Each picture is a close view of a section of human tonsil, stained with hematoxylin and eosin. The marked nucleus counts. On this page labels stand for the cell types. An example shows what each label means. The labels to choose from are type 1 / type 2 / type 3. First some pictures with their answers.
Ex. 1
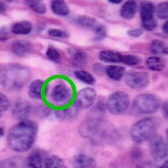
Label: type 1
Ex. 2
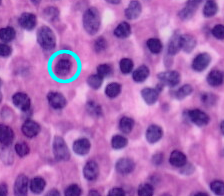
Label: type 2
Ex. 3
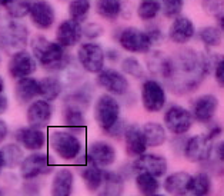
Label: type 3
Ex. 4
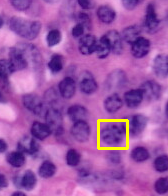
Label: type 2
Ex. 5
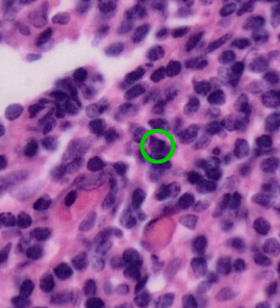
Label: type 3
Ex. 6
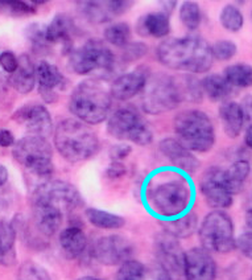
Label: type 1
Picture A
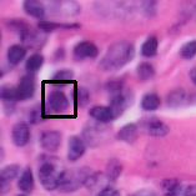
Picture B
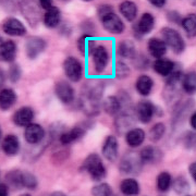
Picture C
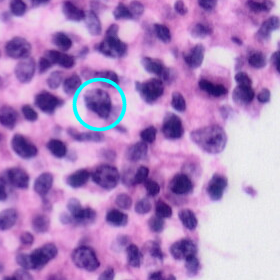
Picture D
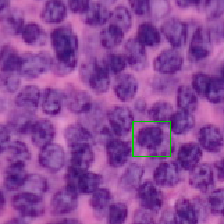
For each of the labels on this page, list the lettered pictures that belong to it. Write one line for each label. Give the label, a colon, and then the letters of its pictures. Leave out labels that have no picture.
type 1: C
type 3: A, B, D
